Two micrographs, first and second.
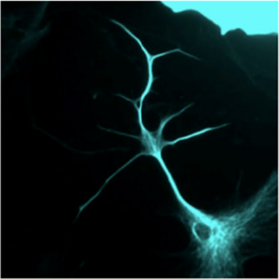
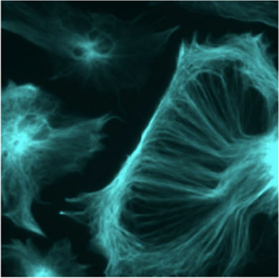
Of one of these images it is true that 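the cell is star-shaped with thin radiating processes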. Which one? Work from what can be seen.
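The first image. First image: a small cell body gives off several thin branching processes in a star shape. Second image: large flat cells with filaments fanning out radially across a broad sheet, no thin processes.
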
